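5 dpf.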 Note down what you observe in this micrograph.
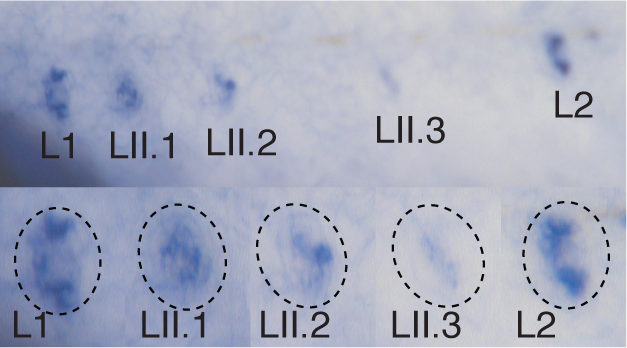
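Along the larval trunk a row of small blue-stained cell clusters marks the lateral line sense organs, with a fainter, more elongated spot among them. In the enlarged dashed circles the stain fills patches within each oval cluster rather than the whole organ, and the intensity varies from one cluster to the next.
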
